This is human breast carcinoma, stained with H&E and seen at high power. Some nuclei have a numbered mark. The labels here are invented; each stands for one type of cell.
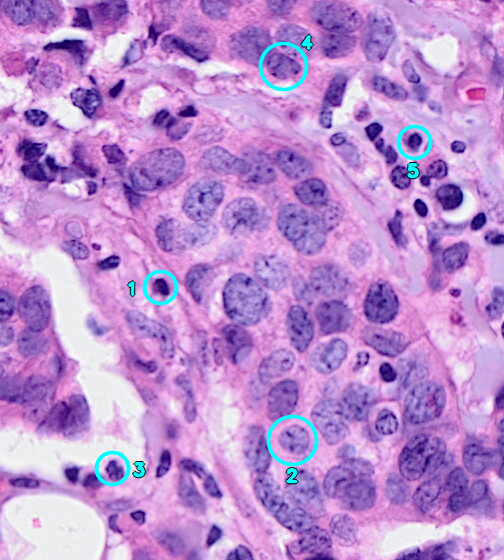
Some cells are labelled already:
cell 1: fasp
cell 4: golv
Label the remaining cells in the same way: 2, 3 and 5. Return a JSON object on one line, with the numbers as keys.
{"2": "golv", "3": "fasp", "5": "fasp"}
